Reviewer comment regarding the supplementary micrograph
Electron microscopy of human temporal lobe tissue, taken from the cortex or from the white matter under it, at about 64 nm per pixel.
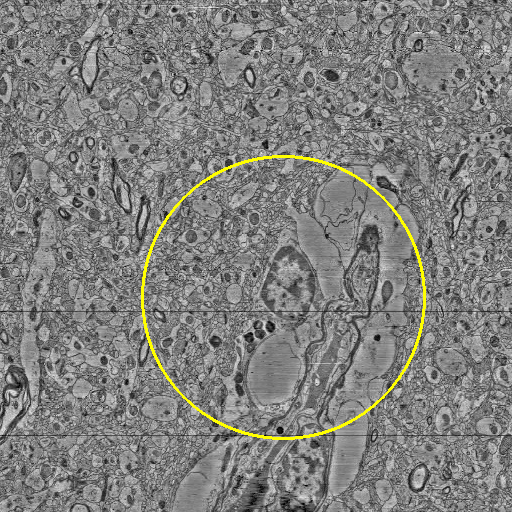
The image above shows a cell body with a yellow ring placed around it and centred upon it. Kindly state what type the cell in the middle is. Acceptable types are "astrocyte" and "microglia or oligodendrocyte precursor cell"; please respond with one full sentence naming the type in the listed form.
In the image above, the cell on which the yellow ring is centred is a microglial cell or oligodendrocyte precursor cell.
